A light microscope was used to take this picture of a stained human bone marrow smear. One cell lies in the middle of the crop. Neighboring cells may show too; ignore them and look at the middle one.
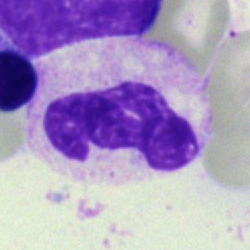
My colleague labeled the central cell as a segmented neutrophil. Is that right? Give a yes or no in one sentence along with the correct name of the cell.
Yes, the central element of the crop is a segmented neutrophil.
